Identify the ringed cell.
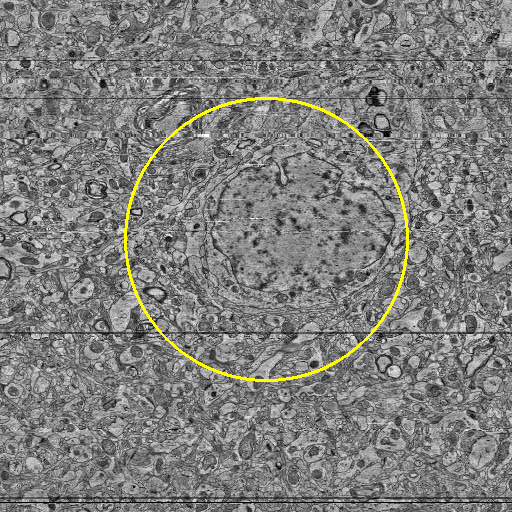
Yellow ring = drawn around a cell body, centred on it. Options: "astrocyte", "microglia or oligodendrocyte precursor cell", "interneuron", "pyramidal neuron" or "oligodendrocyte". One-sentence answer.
What the ring is centred on is an interneuron.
